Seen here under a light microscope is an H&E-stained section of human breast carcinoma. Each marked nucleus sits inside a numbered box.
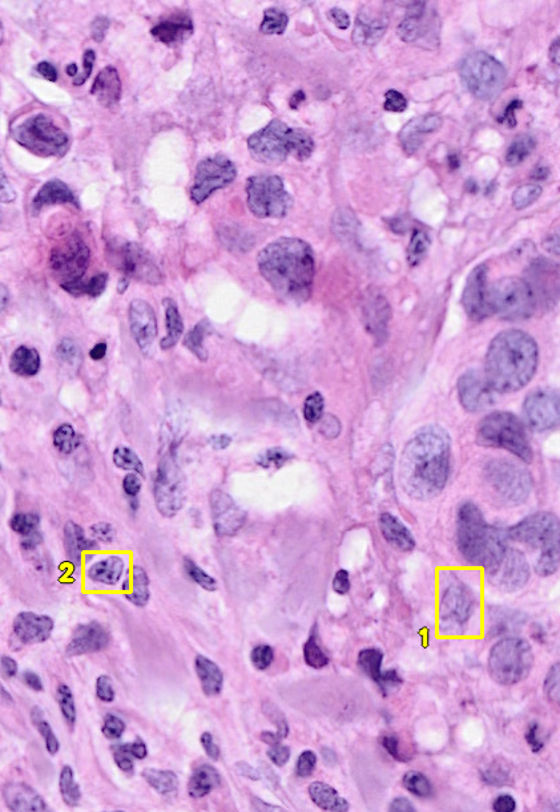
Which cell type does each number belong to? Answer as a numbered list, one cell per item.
1. carcinoma cell
2. lymphocyte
